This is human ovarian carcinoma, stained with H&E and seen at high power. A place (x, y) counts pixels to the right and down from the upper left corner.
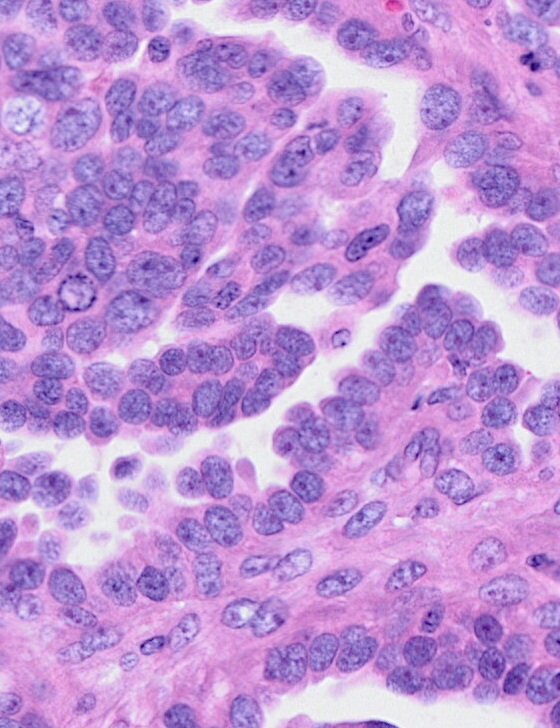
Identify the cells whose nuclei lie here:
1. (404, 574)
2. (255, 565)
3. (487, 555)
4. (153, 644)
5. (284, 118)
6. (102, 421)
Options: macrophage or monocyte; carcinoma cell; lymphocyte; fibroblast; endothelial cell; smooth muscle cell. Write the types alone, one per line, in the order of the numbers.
fibroblast
fibroblast
fibroblast
fibroblast
carcinoma cell
carcinoma cell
